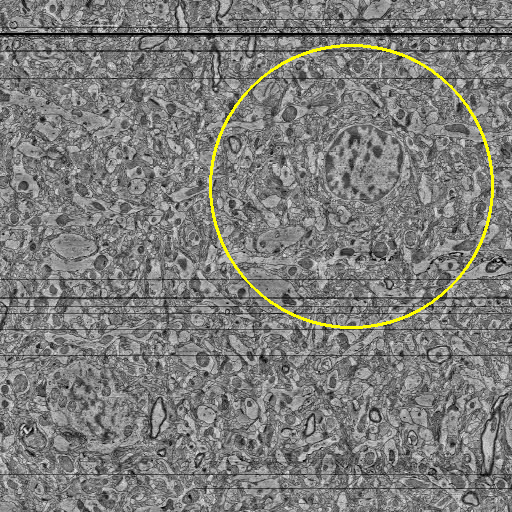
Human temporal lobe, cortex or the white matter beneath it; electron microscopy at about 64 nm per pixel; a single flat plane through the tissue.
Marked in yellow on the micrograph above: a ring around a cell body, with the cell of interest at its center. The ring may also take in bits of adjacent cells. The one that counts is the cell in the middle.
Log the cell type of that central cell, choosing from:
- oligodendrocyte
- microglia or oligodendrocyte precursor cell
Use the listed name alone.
microglia or oligodendrocyte precursor cell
